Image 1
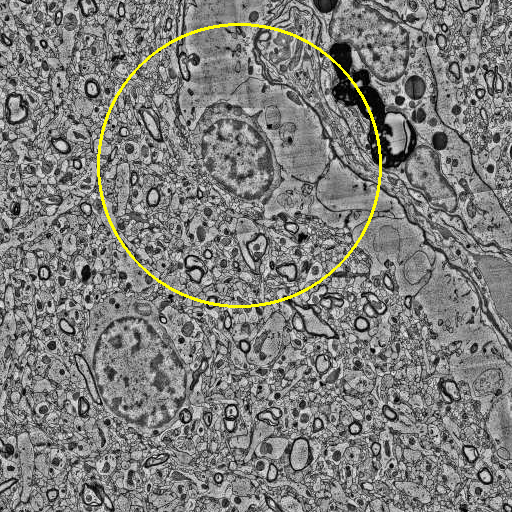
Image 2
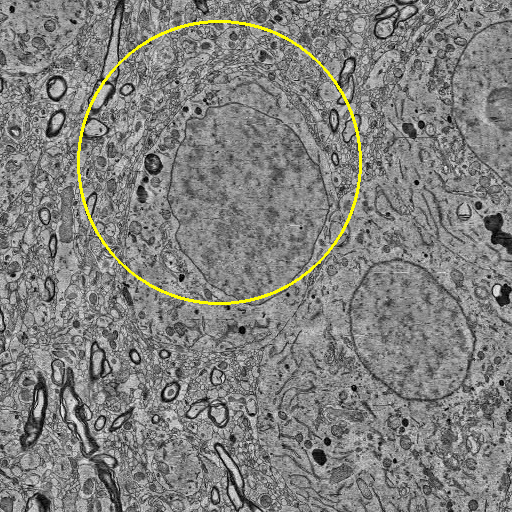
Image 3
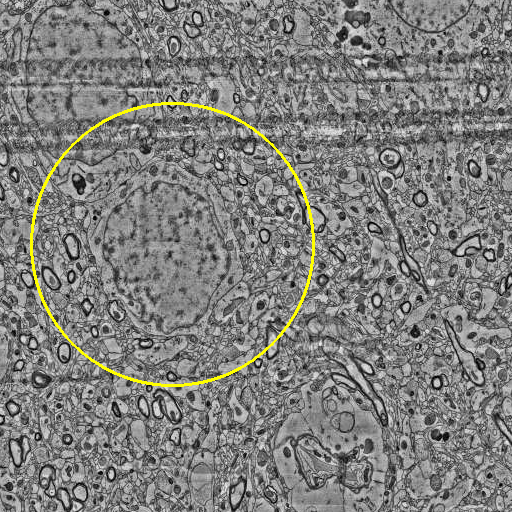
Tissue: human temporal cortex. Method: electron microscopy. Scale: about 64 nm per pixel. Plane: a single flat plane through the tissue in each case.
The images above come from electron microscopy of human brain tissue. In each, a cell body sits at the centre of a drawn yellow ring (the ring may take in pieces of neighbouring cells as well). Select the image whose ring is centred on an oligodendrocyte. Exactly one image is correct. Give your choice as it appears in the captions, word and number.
Image 1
